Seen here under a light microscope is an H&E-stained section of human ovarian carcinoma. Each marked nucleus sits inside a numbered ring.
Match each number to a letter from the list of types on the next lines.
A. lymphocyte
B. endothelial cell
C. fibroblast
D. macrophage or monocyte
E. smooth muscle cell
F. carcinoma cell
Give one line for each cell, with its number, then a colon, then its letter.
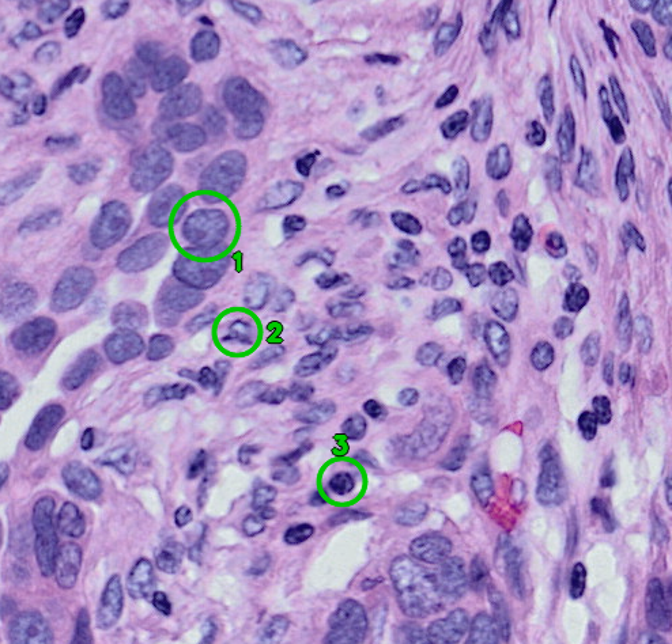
1: F
2: C
3: A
